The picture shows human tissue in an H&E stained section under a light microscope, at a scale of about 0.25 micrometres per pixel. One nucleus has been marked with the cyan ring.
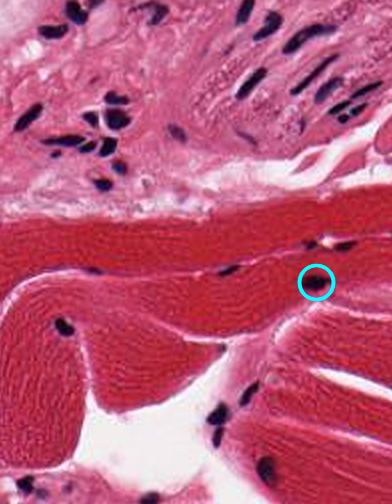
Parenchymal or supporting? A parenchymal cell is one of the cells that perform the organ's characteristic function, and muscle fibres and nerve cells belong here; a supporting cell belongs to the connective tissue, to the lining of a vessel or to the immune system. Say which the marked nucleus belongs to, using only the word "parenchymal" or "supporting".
parenchymal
